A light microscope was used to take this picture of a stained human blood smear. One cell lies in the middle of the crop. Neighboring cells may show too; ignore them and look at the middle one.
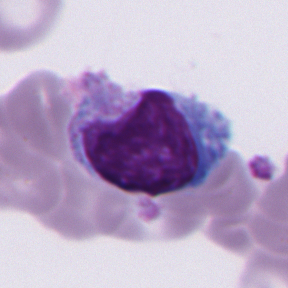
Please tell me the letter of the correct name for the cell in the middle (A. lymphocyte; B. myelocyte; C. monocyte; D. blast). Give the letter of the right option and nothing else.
A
